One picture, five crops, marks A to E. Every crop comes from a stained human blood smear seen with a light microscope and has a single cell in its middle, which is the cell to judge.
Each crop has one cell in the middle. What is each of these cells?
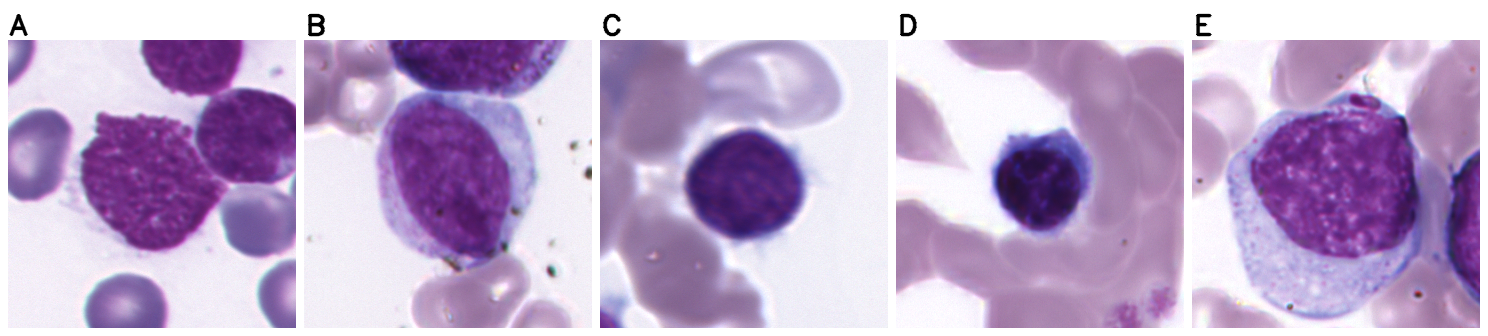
A: smudge cell
B: myelocyte
C: hairy cell
D: plasma cell
E: promyelocyte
